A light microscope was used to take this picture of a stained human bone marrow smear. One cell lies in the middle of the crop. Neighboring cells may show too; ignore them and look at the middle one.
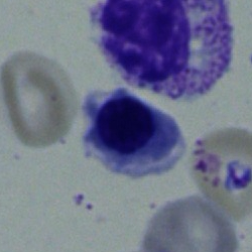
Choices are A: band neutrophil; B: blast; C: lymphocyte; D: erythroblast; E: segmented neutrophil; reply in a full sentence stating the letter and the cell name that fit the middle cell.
Identification: the cell in the middle is an erythroblast, matching option D.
